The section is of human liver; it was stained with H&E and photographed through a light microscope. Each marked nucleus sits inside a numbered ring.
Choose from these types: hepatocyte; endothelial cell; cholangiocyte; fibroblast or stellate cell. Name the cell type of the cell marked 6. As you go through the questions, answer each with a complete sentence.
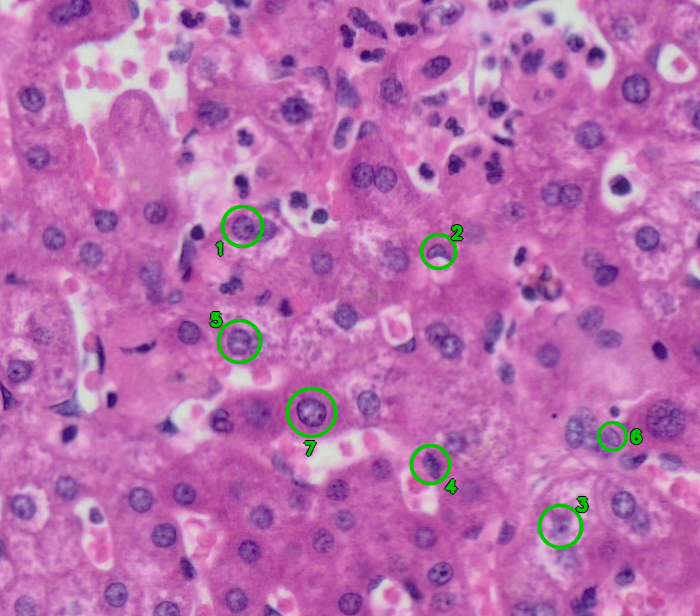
Numbered cell 6 is a cholangiocyte in this tissue section.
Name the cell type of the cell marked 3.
Marked with the number 3, this cell is a hepatocyte.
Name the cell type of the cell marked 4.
The marked cell bearing number 4 is a fibroblast or stellate cell.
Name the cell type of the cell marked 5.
The cell that goes by number 5 is a hepatocyte.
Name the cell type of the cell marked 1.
The cell assigned the number 1 is a hepatocyte.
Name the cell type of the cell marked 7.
The cell indicated by marker 7 is a hepatocyte in this section.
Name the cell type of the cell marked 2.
The cell that carries the label 2 is an endothelial cell.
